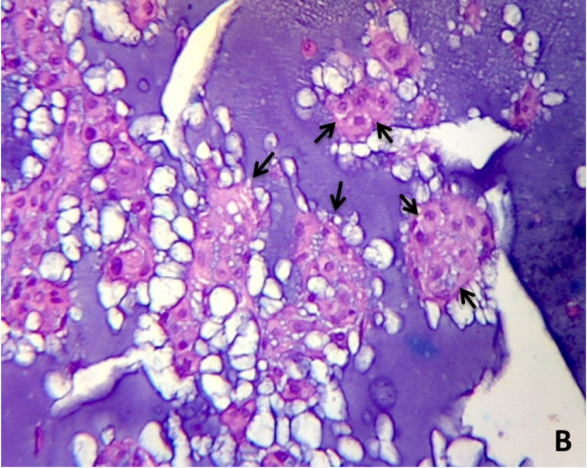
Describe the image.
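Chordoma tissue with nests of physalipherous cells lying in abundant mucoid stroma. The nests are small, irregular clusters of cells with pink cytoplasm. The cytoplasm is broken up by many clear, round vacuoles of varying size, giving a bubbly look. The surrounding stroma is a broad, homogeneous purple-blue matrix with few cells.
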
